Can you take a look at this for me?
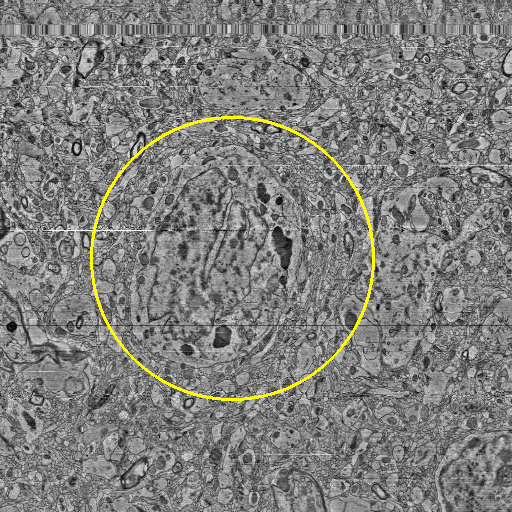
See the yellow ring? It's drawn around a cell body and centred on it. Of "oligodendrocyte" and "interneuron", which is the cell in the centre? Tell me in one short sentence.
The one in the centre is an interneuron.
